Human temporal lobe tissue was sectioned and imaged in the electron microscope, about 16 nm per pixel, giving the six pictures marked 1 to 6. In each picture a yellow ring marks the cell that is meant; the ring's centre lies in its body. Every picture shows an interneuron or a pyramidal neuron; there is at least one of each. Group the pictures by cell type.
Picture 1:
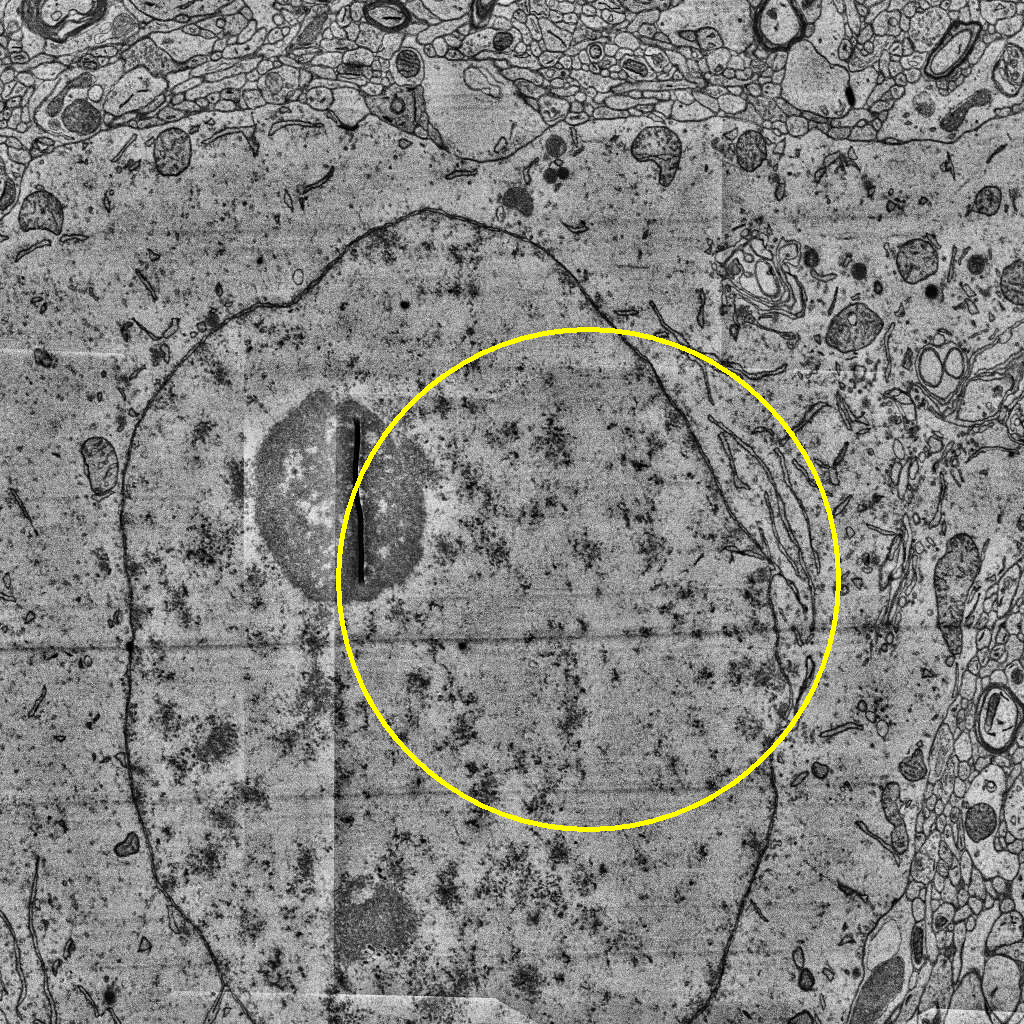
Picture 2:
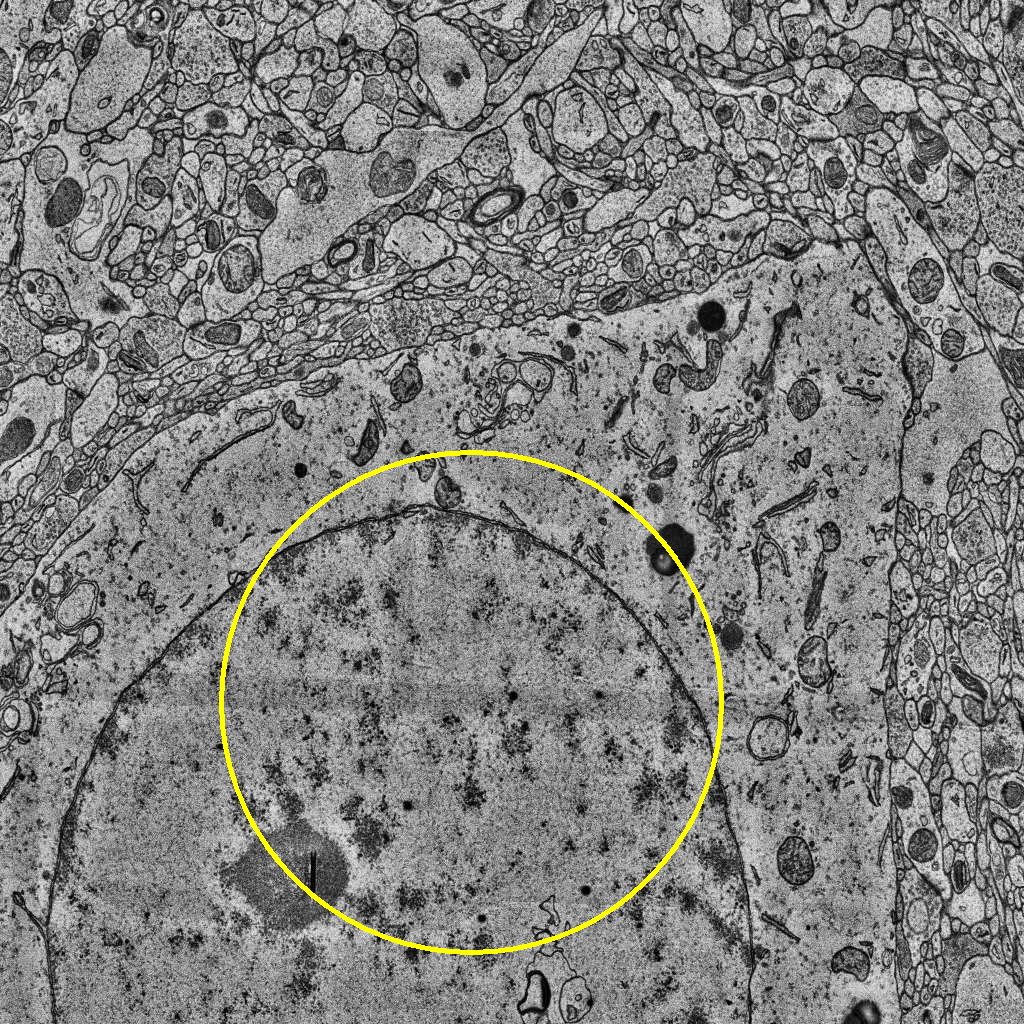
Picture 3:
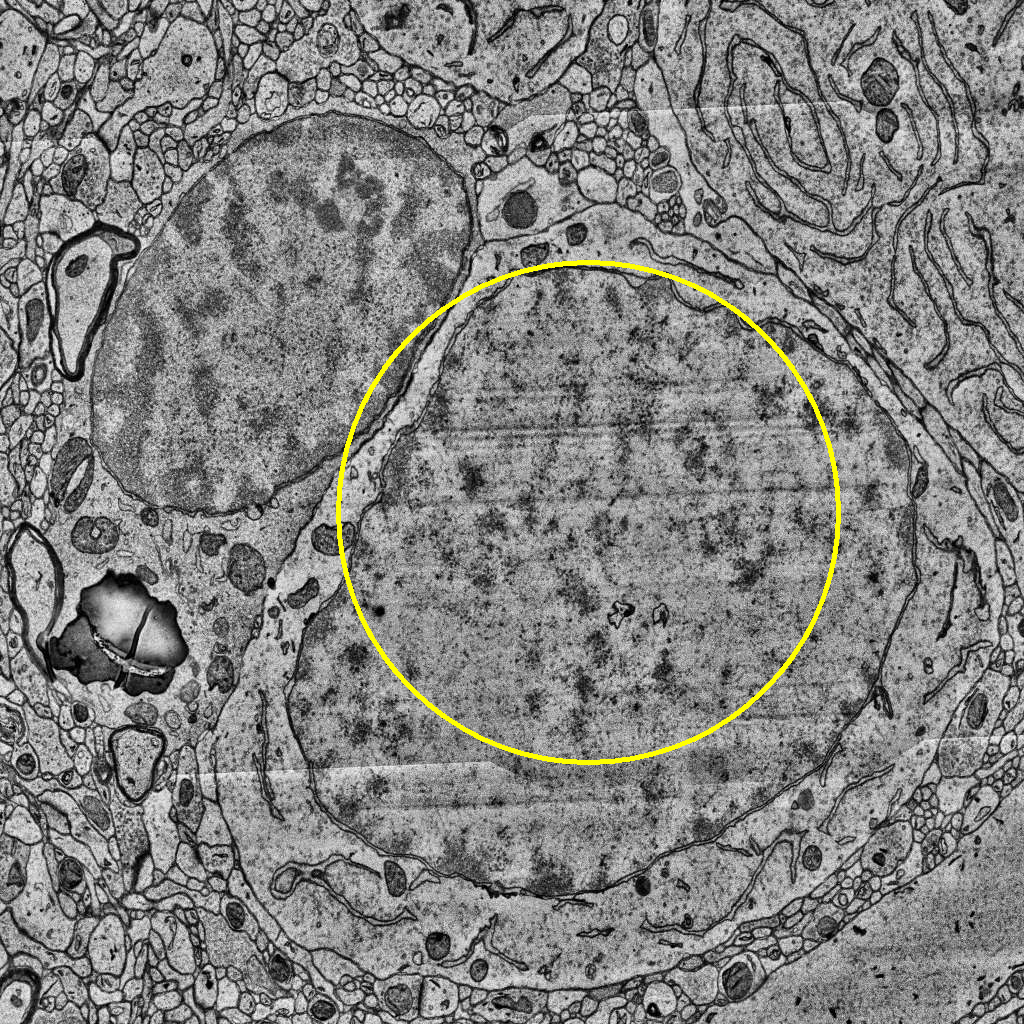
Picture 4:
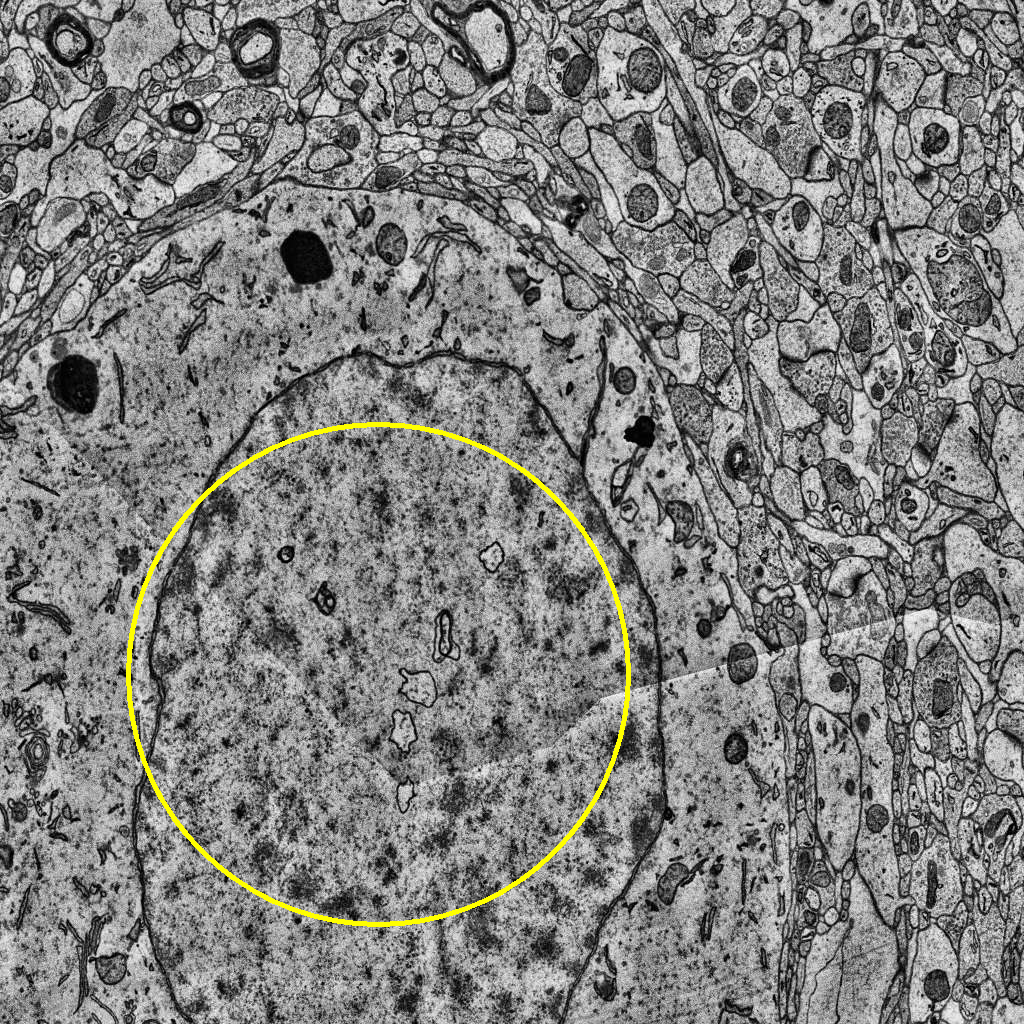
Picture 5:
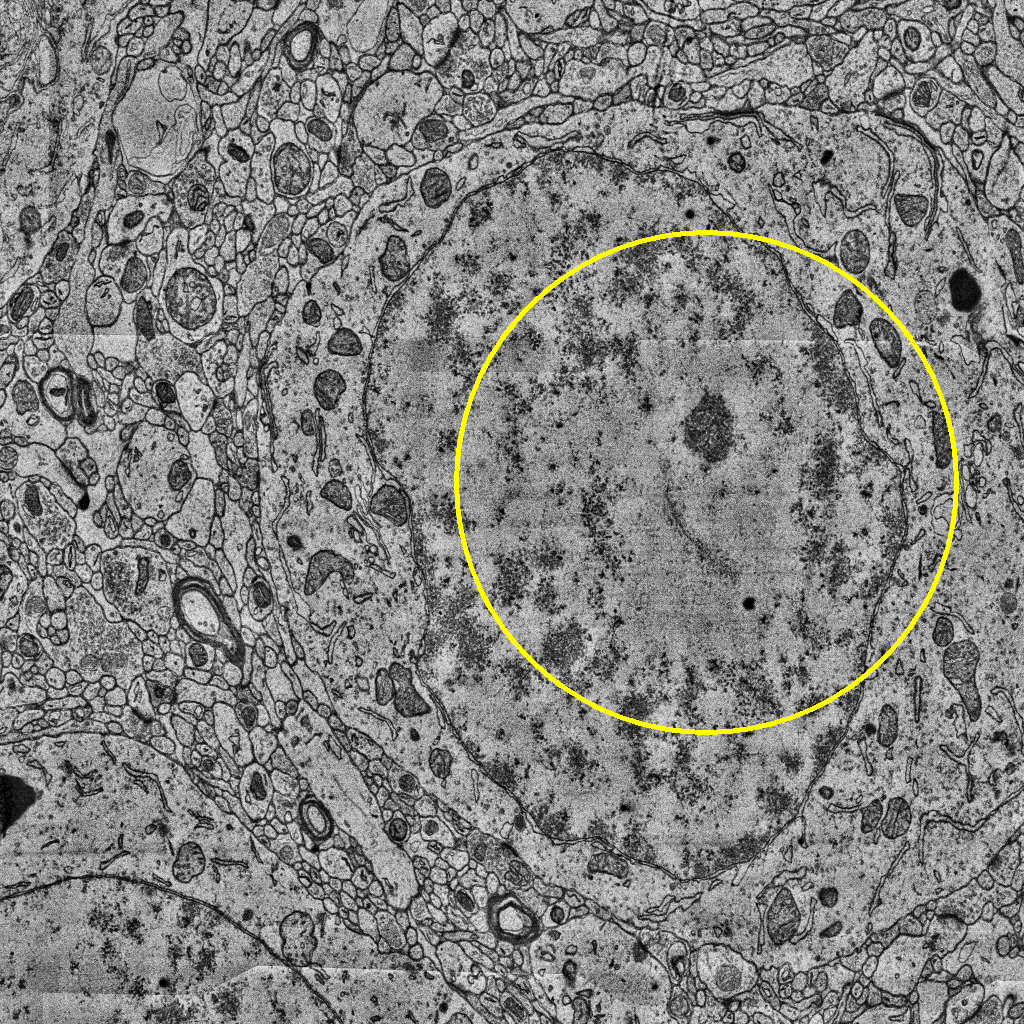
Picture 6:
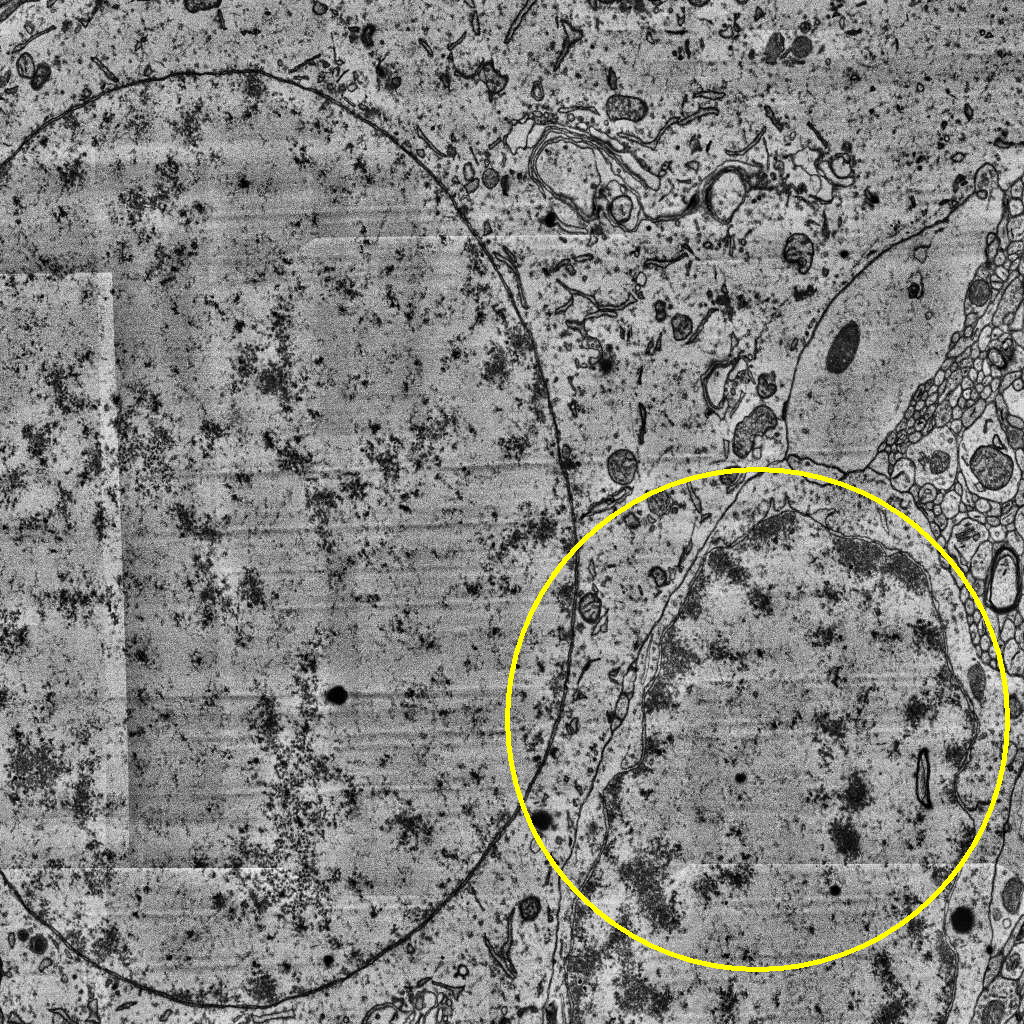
Pictures 3, 5 and 6 show interneurons; pictures 1, 2 and 4 show pyramidal neurons.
